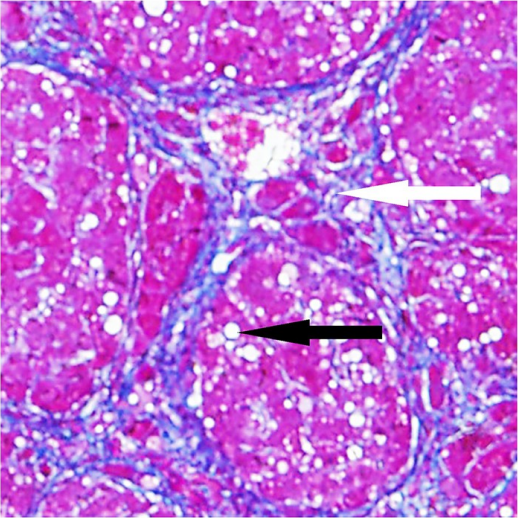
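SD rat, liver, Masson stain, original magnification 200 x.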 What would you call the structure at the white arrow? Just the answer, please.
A: collagen fibers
